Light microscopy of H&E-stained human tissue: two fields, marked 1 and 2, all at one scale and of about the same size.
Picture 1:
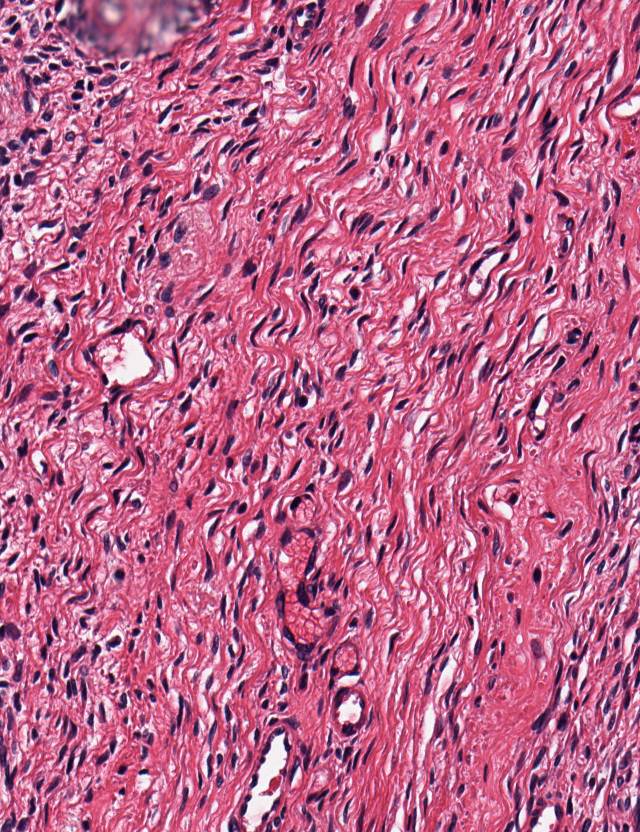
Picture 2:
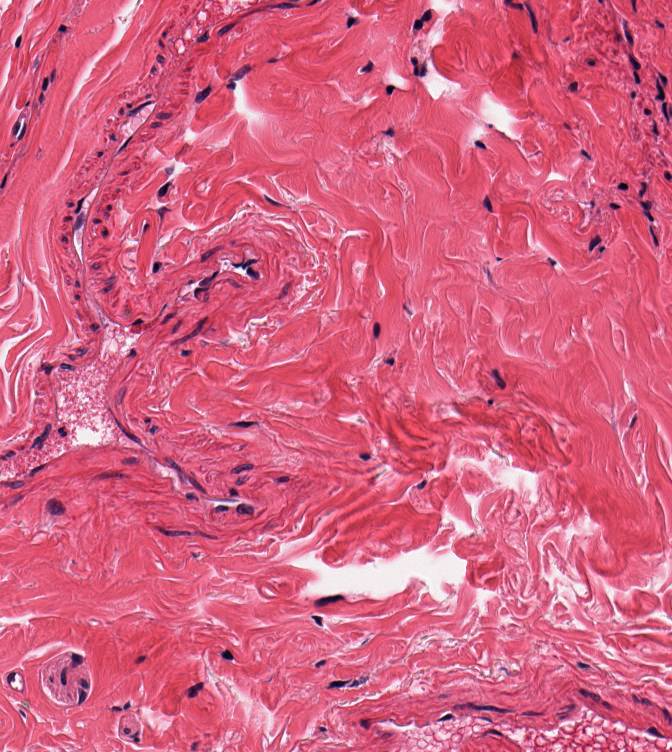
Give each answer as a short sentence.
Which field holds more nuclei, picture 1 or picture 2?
The larger number of nuclei is in picture 1.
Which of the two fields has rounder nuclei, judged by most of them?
The nuclei are rounder in picture 2.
